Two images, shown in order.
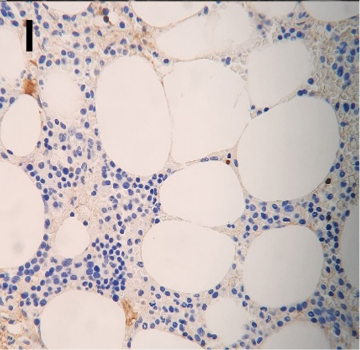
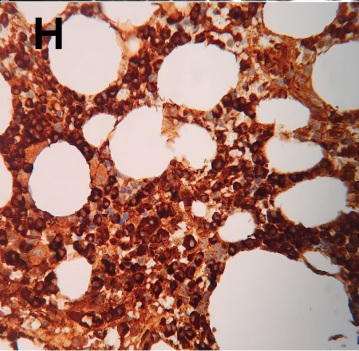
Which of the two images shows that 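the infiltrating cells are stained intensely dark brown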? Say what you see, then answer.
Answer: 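The second image. First image: cells between the clear vacuoles show blue nuclei with little or no brown color. Second image: nearly all cells between the clear vacuoles are intensely dark brown.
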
